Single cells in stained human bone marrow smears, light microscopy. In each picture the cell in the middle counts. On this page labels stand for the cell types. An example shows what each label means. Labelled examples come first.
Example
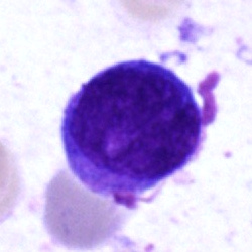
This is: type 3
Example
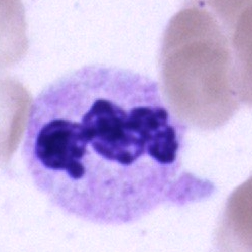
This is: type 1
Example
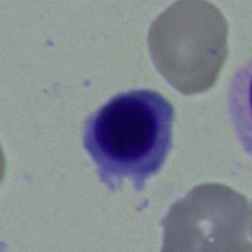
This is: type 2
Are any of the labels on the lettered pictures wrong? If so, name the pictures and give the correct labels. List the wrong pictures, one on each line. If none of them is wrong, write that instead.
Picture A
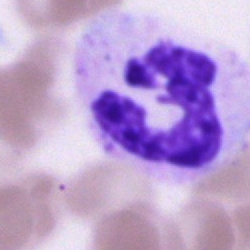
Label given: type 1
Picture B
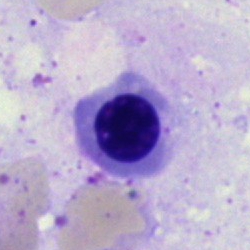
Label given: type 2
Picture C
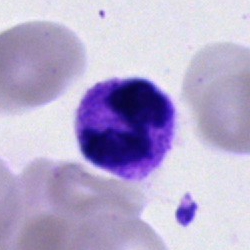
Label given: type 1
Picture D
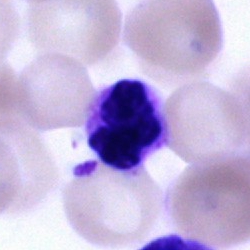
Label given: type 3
D: change type 3 to type 1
